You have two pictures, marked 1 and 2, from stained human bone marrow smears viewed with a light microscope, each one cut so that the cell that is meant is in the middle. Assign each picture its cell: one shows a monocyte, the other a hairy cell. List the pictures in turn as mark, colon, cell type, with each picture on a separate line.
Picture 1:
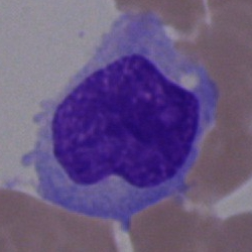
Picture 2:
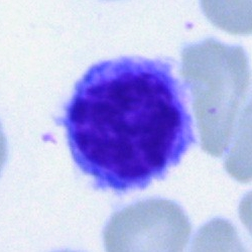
1: monocyte
2: hairy cell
